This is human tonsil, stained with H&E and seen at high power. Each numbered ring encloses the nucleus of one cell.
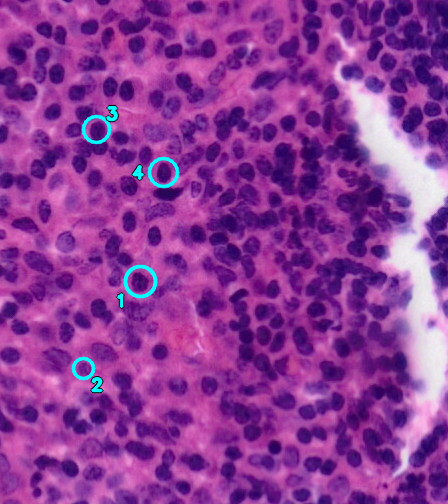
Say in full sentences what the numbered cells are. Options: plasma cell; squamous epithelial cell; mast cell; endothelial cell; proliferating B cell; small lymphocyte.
Cells 1, 3 and 4 are plasma cells. Cell 2 is a squamous epithelial cell.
